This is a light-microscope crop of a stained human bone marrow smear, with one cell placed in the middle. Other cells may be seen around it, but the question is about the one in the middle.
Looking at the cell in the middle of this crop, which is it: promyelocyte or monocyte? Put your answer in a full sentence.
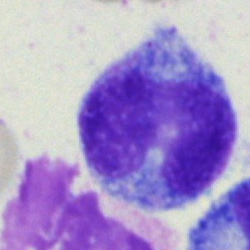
The cell at the central position in this crop is a monocyte.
